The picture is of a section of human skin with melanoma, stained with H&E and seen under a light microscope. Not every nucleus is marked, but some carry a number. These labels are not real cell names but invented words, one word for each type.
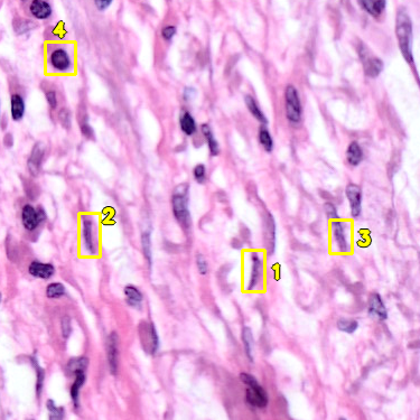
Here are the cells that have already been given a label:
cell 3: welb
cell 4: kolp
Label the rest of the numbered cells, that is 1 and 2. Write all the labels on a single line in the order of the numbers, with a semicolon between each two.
welb; welb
